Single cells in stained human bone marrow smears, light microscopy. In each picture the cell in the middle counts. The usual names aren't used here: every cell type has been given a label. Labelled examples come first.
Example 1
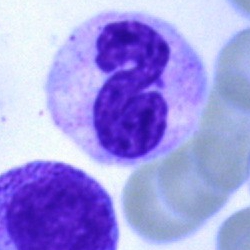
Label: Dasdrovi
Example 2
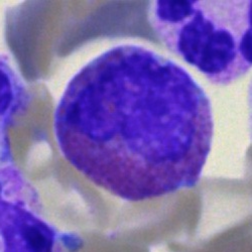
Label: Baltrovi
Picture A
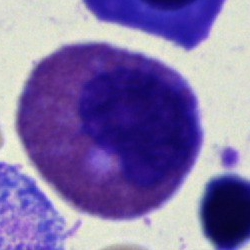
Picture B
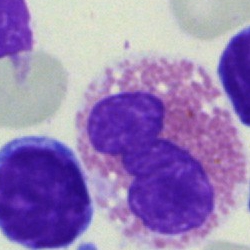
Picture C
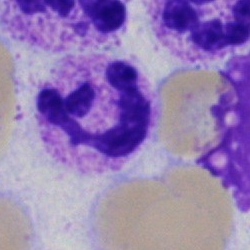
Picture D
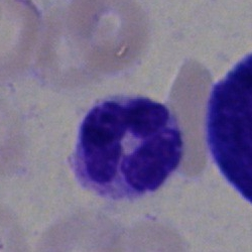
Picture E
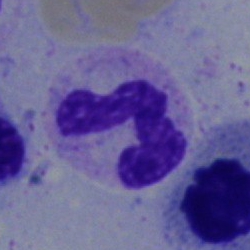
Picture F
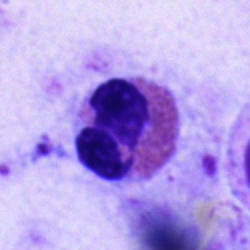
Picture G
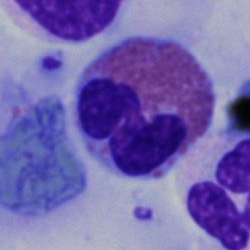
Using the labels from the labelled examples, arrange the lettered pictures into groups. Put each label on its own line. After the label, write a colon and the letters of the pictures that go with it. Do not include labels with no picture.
Dasdrovi: C, D, E
Baltrovi: A, B, F, G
